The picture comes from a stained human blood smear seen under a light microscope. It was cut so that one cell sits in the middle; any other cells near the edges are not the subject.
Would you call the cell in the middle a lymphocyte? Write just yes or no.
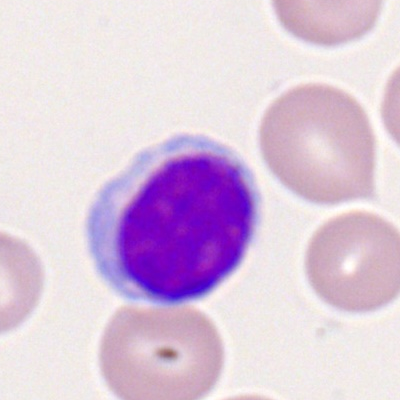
yes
